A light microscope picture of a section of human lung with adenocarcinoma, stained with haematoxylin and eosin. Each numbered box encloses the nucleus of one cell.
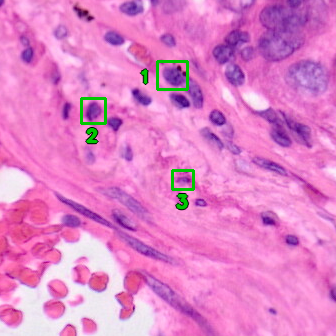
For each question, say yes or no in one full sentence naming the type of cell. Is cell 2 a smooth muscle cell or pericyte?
Yes, the marked cell numbered 2 is a smooth muscle cell or pericyte.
